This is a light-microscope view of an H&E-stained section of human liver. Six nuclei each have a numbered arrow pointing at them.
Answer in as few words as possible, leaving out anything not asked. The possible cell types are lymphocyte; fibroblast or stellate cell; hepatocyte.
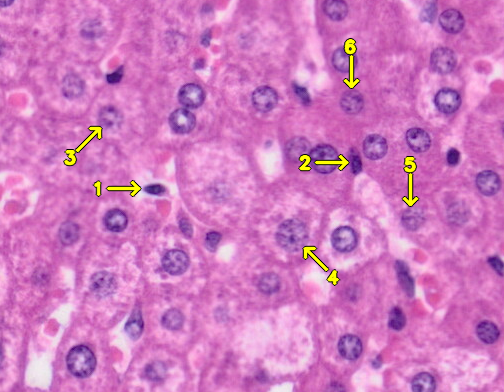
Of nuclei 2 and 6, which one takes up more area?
6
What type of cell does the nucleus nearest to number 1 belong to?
hepatocyte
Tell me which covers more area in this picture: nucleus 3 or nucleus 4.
4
